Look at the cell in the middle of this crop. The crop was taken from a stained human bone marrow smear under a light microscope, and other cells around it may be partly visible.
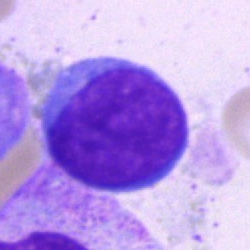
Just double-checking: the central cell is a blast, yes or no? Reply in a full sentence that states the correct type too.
Yes, the centred cell is categorised as a blast.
